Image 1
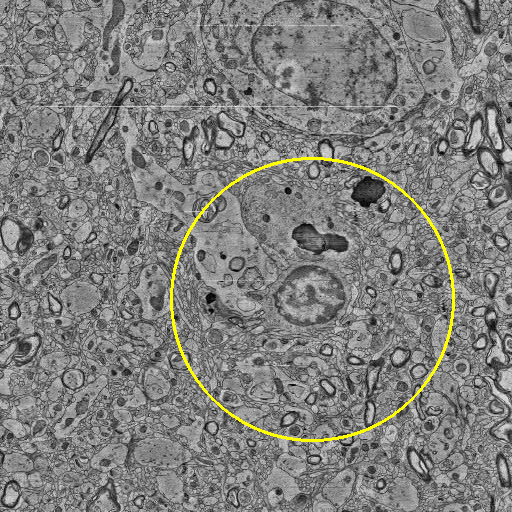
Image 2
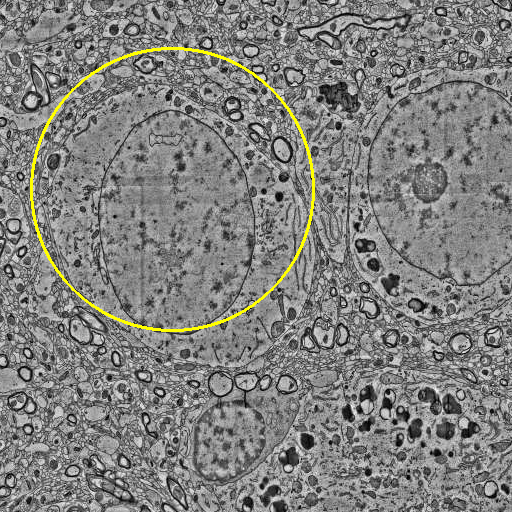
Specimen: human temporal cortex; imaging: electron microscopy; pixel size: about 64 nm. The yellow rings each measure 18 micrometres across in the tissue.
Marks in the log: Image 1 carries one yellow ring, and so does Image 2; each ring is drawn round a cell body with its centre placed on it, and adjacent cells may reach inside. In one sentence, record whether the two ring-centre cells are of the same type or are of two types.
The two cells at the ring centres, one in each image, are of two types.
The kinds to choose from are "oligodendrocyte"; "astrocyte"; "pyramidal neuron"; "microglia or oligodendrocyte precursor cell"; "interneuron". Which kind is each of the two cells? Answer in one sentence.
Of the two, the first cell is an oligodendrocyte and the second cell is a pyramidal neuron.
